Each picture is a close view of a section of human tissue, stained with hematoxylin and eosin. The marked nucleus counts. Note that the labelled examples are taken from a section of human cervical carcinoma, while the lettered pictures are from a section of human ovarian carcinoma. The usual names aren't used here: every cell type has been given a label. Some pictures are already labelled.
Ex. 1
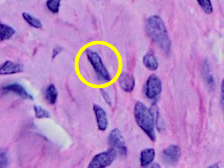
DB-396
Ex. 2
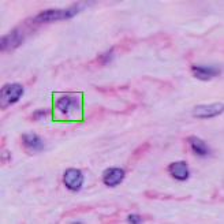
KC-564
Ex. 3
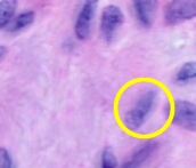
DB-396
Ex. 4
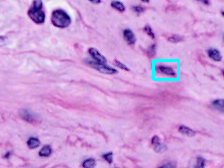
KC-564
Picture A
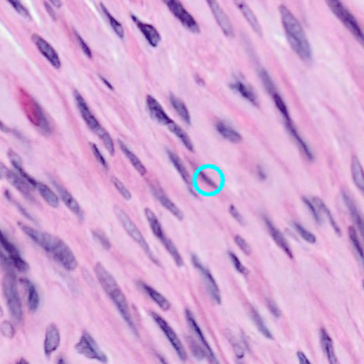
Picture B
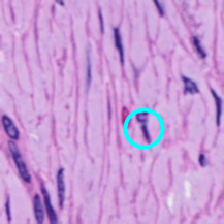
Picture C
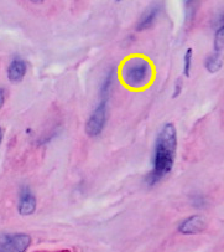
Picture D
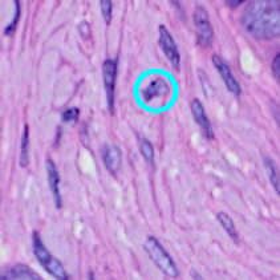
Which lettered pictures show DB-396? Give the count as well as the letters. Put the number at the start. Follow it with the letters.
Count: 2 (B, D)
